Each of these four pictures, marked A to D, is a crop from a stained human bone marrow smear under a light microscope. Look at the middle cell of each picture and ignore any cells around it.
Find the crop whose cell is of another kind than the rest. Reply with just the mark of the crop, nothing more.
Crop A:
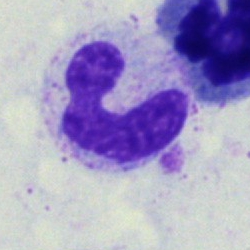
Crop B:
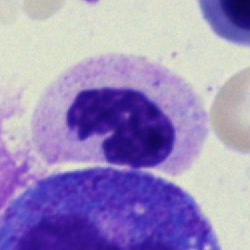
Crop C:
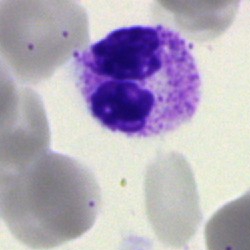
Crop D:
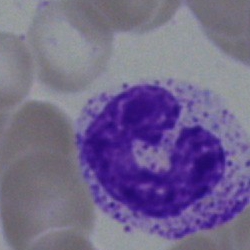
C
